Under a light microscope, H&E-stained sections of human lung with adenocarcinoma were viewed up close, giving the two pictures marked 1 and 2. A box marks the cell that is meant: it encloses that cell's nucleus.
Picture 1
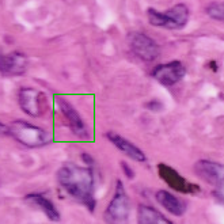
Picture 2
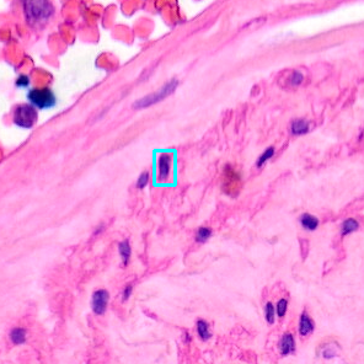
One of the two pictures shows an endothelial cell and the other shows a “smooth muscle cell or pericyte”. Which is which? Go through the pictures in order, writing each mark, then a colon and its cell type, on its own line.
1: endothelial cell
2: smooth muscle cell or pericyte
